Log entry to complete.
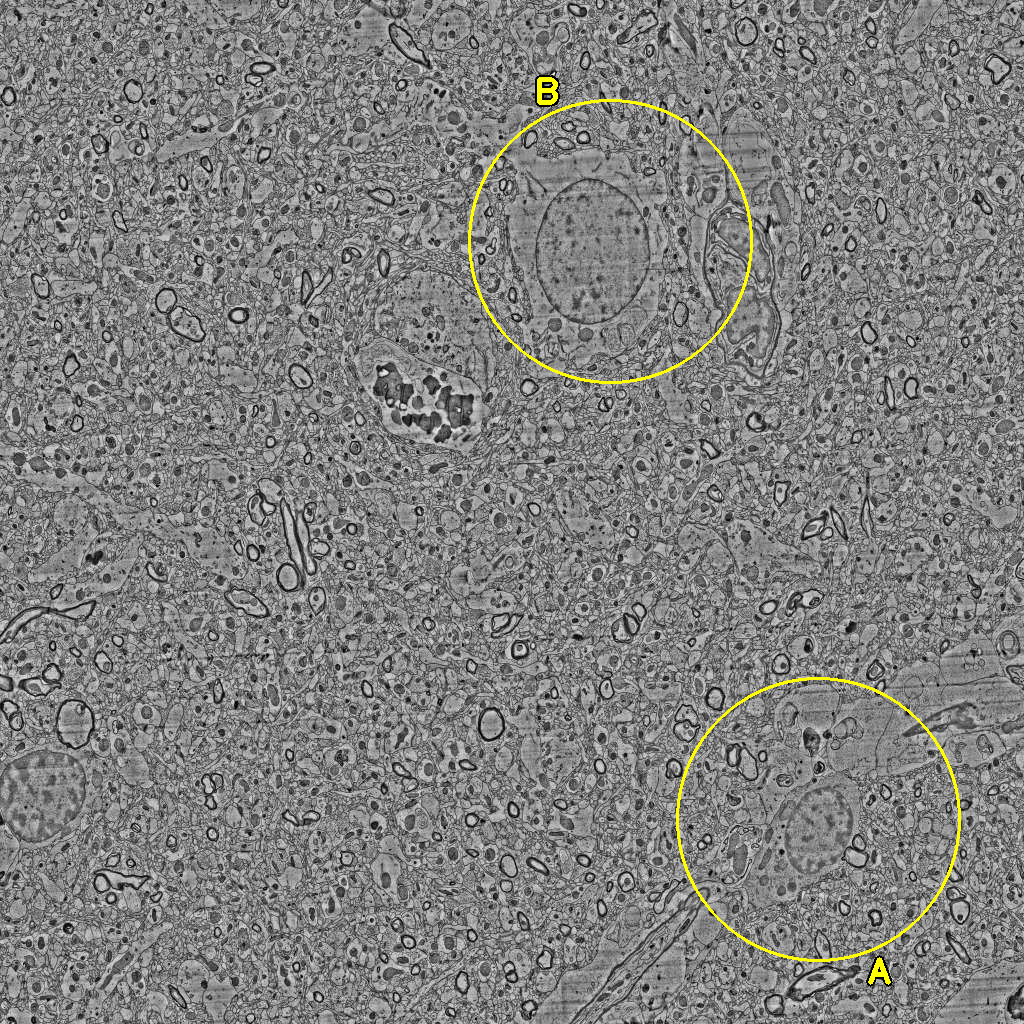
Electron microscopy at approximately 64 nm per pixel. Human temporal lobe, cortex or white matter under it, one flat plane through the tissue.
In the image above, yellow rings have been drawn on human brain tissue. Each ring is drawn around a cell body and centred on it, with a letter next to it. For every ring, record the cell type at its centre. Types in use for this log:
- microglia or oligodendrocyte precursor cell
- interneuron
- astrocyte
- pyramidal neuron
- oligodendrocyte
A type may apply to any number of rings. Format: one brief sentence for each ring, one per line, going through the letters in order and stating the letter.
In ring A, the centred cell is an oligodendrocyte.
In ring B, the centred cell is an astrocyte.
